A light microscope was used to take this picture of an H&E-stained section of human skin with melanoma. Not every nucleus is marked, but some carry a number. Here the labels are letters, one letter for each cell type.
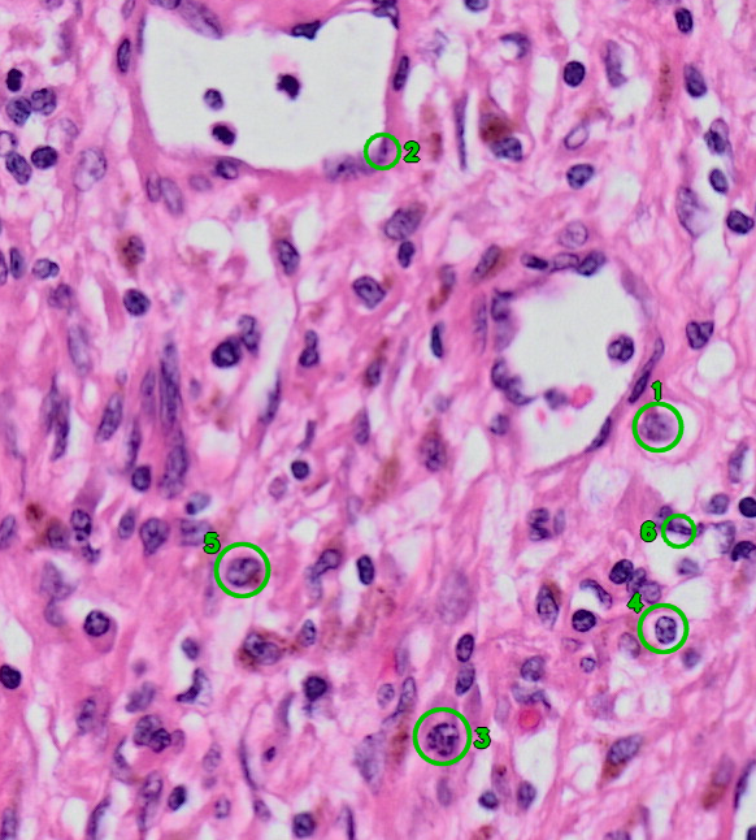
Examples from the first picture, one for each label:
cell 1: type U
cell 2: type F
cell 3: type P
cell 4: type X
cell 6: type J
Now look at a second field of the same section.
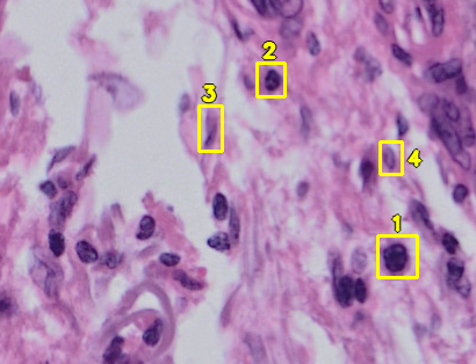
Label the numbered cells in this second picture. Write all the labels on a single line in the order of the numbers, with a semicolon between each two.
type P; type P; type J; type U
